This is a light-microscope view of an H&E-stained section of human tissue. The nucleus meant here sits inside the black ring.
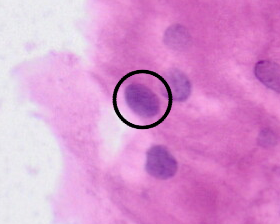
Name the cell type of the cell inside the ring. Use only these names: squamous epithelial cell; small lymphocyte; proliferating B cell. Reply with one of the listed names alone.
squamous epithelial cell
